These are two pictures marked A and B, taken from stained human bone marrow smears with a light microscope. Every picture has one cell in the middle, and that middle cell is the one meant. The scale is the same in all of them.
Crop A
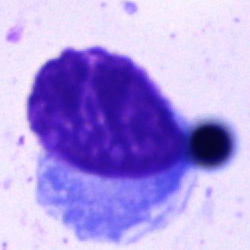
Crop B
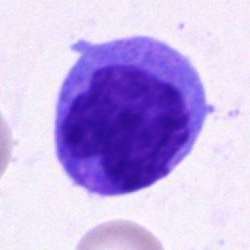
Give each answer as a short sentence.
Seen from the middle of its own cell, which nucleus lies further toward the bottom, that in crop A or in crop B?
Seen within its cell, the nucleus in crop B lies further toward the bottom.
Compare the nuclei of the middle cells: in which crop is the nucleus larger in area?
Crop A shows the larger nucleus; it covers about 1.5 times the area of the nucleus in crop B.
